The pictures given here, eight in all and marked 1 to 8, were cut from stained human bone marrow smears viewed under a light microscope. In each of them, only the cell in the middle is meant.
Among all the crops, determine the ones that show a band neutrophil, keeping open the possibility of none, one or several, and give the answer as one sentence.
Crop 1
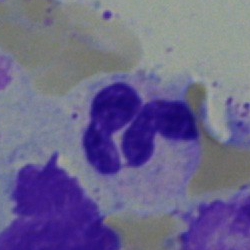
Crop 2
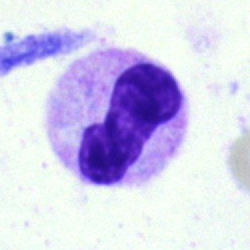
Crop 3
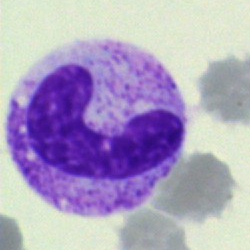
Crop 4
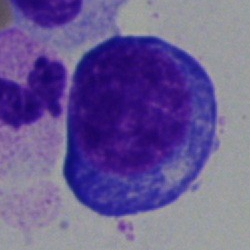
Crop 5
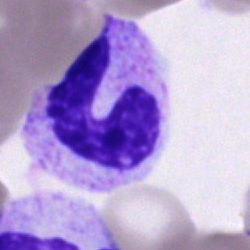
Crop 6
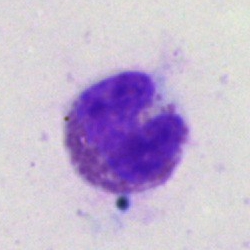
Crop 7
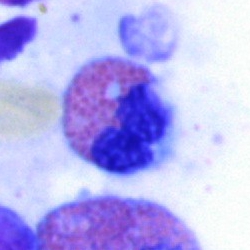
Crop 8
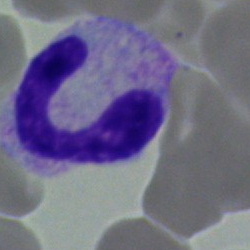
The cells at the centre of crops 2, 3, 5 and 8 represent band neutrophils.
